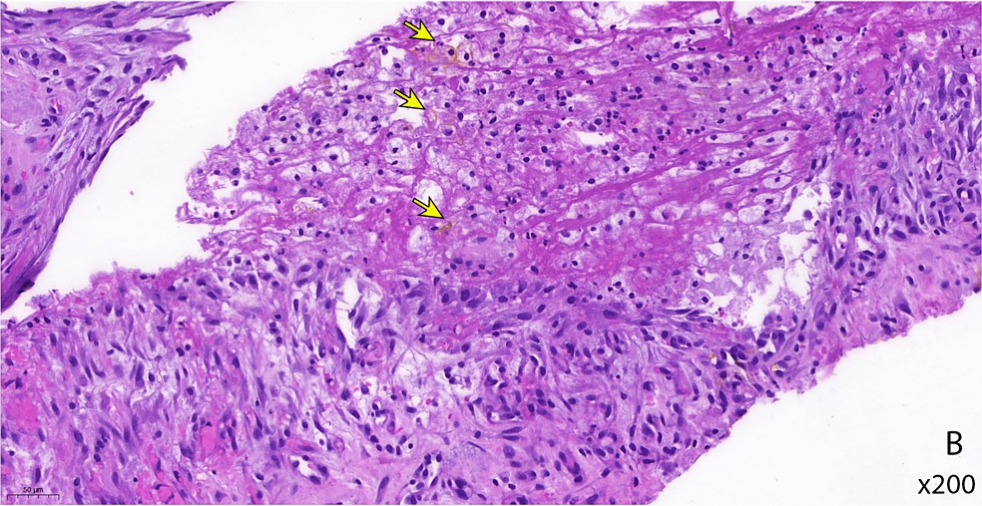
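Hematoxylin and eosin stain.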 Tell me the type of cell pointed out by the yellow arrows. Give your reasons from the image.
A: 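Golden-brown granular pigment lies at the arrow tips. The pigment sits among large cells with pale, foamy cytoplasm and small round nuclei. That points to this answer: hemosiderin-laden macrophages.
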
